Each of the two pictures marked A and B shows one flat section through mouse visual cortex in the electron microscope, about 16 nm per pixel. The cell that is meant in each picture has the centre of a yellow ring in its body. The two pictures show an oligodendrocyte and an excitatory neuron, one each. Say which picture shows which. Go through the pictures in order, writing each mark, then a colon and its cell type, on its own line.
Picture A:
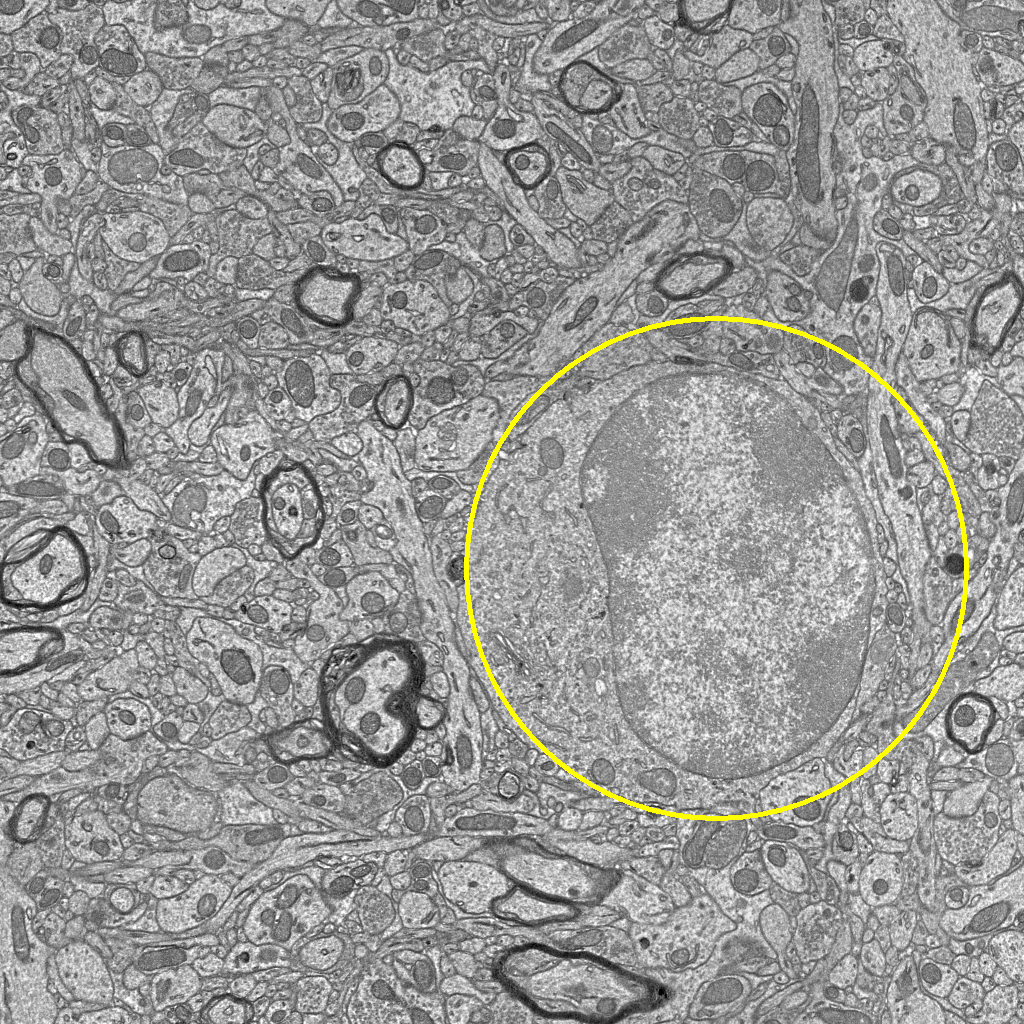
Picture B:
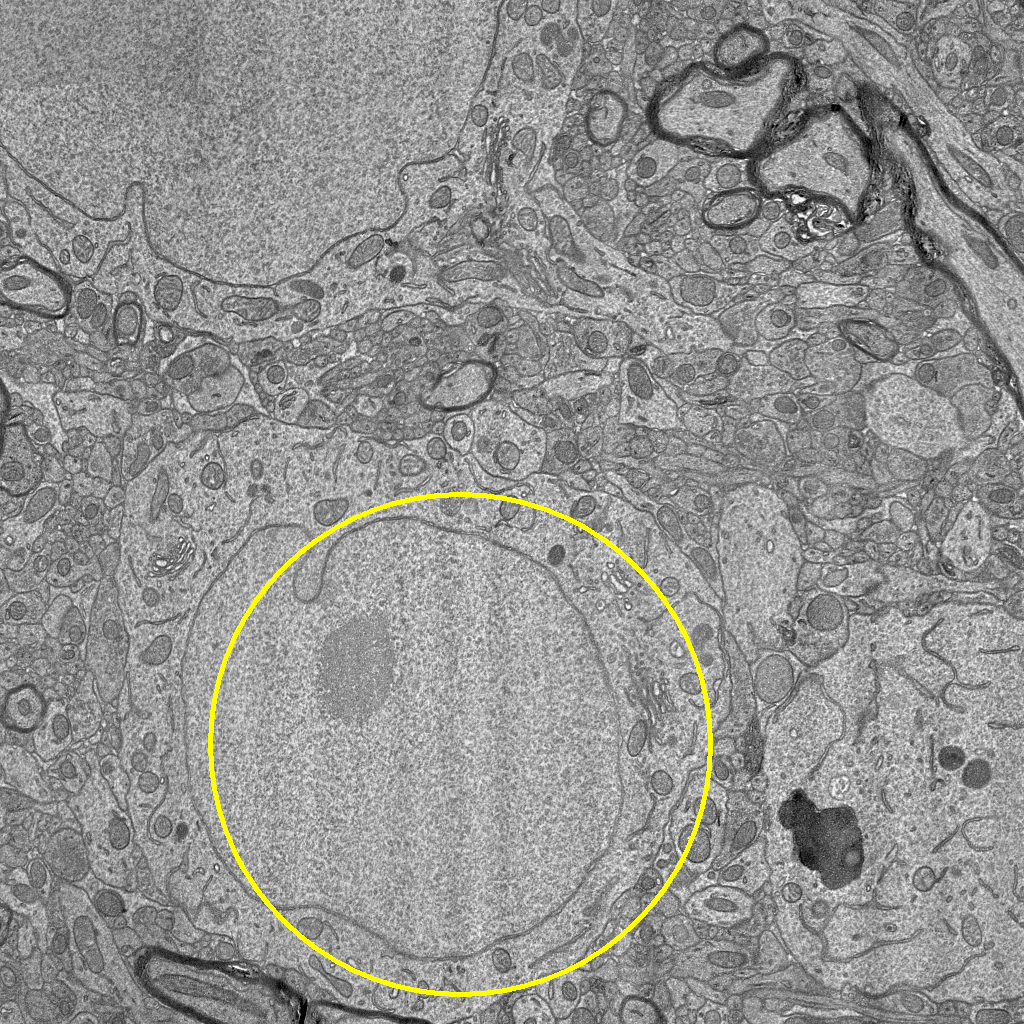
A: oligodendrocyte
B: excitatory neuron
